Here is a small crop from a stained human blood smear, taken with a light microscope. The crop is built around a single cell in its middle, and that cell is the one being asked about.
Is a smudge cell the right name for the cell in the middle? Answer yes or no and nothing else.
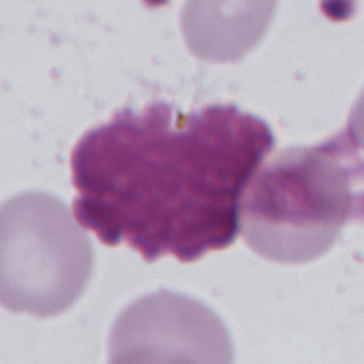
yes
